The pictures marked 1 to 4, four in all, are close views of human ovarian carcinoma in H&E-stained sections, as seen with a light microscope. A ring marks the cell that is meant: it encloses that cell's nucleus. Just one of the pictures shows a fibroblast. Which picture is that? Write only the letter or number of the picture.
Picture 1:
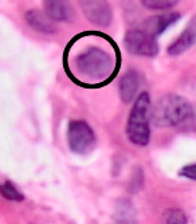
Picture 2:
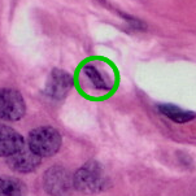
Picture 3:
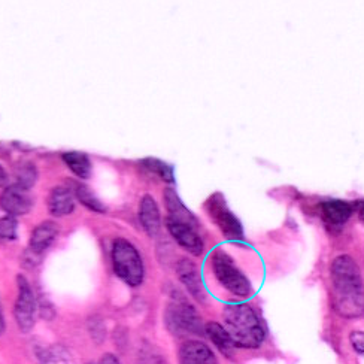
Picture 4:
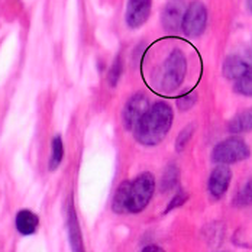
2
